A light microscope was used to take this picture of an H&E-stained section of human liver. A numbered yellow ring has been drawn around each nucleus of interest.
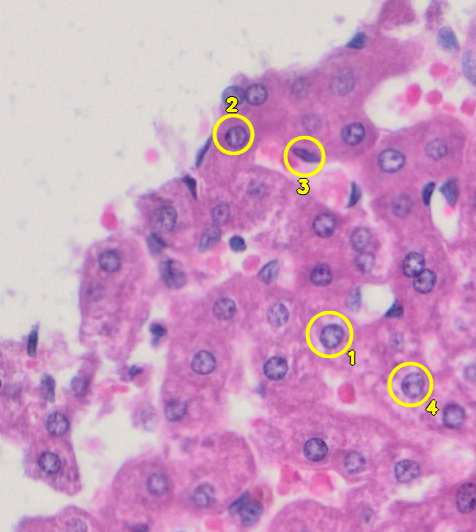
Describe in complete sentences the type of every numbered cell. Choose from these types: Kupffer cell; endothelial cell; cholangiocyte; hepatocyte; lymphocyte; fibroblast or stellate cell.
Cells 1, 2 and 4 are hepatocytes. Cell 3 is a fibroblast or stellate cell.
